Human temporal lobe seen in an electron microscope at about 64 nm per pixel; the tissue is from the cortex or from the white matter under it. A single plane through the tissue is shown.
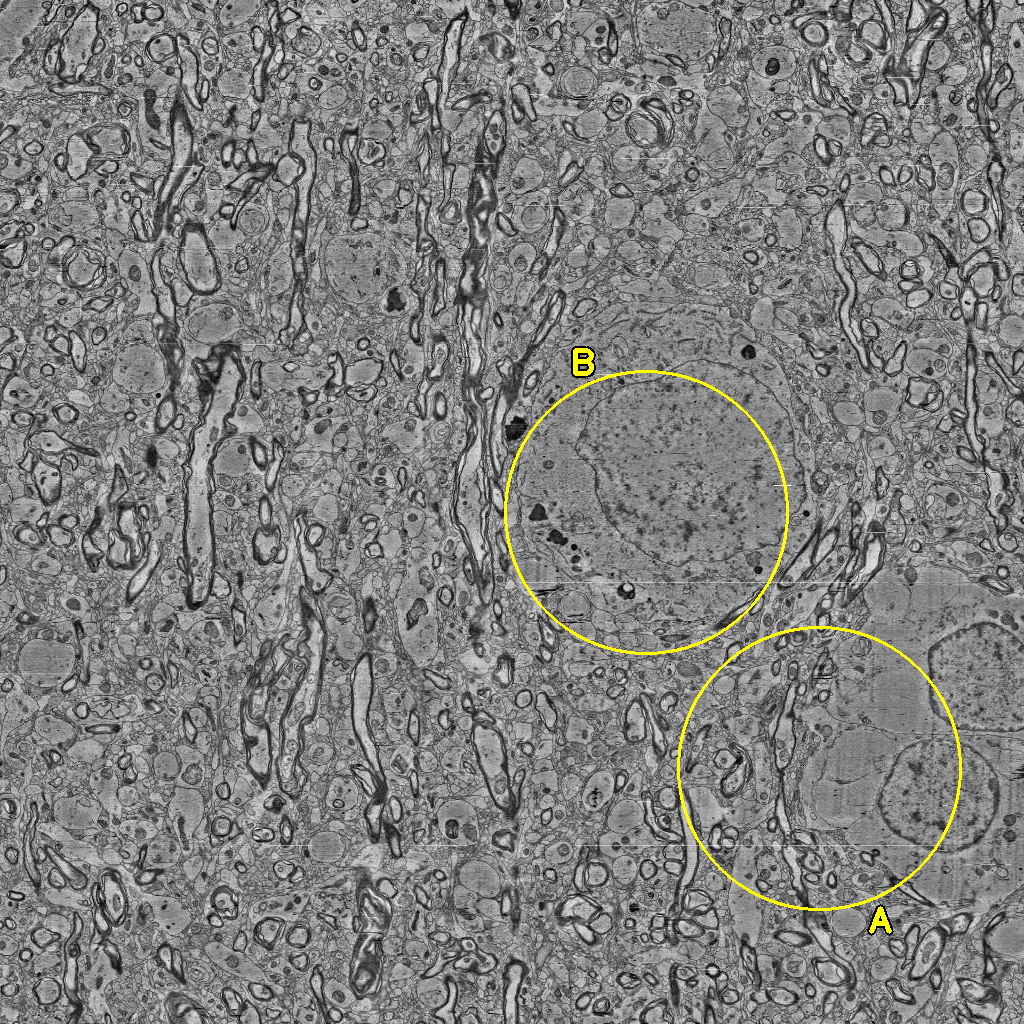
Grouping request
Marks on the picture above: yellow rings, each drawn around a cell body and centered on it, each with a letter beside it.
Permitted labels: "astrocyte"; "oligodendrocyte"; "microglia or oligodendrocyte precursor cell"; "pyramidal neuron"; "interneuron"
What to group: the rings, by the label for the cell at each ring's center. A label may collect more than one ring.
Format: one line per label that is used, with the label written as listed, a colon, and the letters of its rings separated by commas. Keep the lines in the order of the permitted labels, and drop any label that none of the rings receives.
astrocyte: A
pyramidal neuron: B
